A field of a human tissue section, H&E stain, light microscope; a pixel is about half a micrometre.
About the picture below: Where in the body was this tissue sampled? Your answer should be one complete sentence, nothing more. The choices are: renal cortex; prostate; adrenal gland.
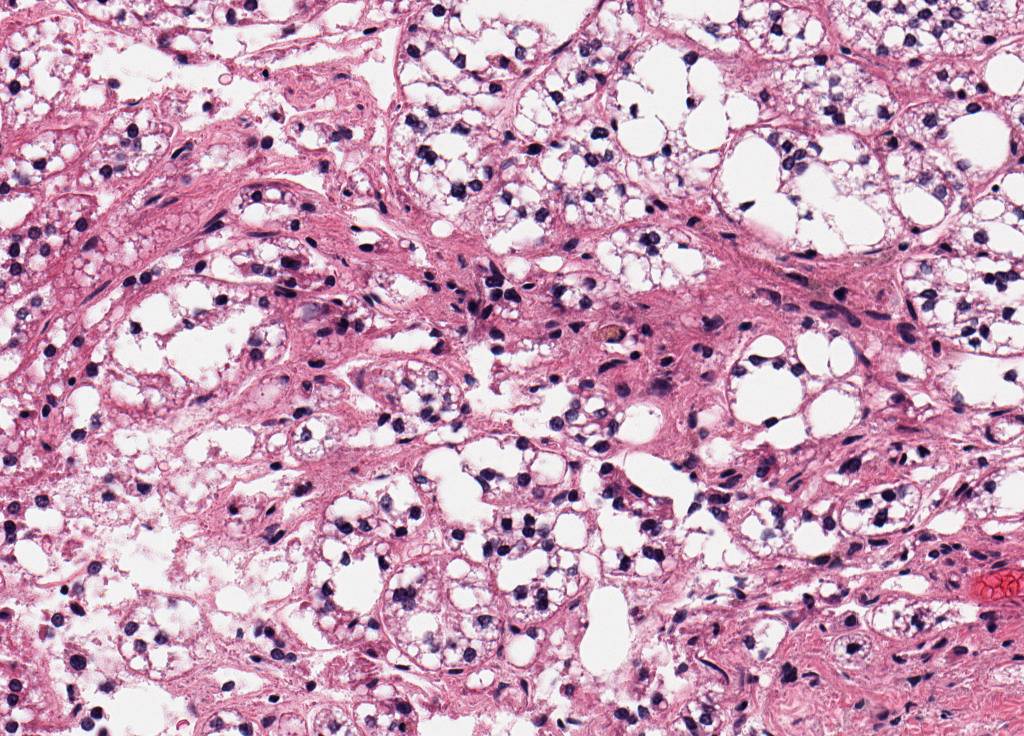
The tissue in this section derives from the adrenal gland.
